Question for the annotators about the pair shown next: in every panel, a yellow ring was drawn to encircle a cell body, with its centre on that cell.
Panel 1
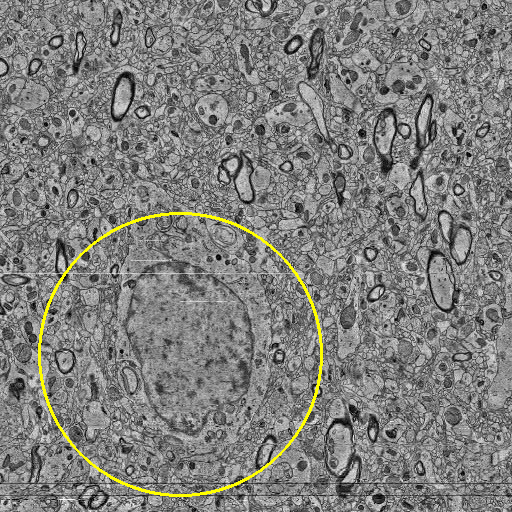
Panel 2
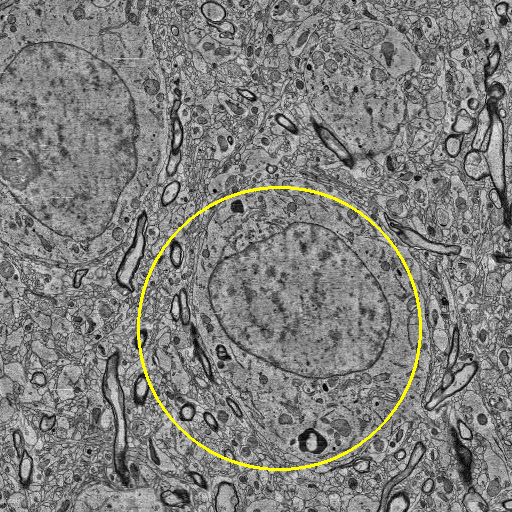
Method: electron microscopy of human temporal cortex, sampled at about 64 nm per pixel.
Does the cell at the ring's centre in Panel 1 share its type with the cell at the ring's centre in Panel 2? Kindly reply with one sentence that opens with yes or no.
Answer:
No, in Panels 1 and 2 the cells at the ring centres belong to separate types.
